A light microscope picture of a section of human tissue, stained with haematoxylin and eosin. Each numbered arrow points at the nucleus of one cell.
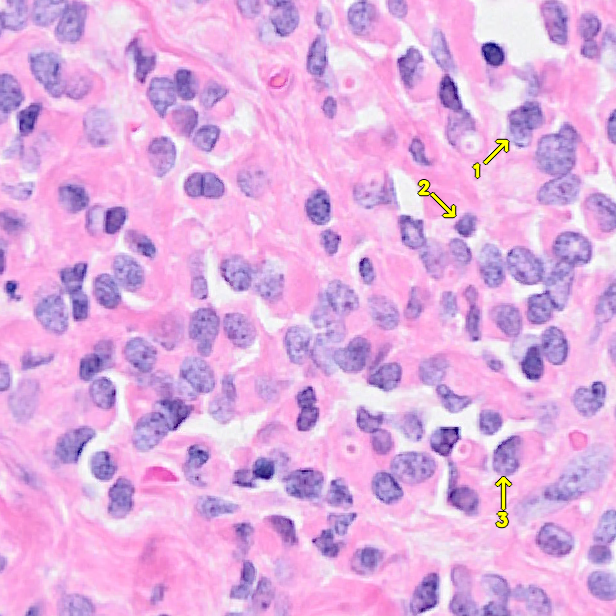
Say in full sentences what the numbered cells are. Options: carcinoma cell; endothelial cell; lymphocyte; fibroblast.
Cell 1 is a carcinoma cell, cell 2 is a lymphocyte and cell 3 is a carcinoma cell.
